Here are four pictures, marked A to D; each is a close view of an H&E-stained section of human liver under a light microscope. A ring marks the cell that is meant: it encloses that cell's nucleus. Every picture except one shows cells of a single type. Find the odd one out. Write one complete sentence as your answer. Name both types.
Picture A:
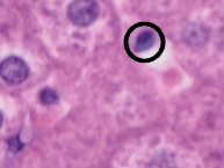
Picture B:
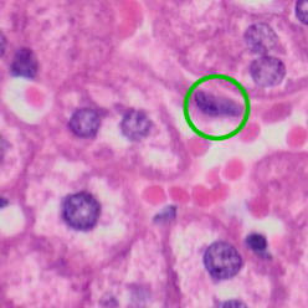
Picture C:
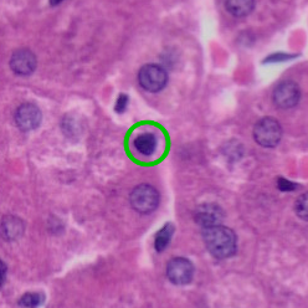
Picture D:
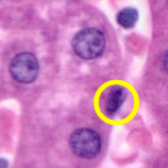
The different one is picture B; it shows a Kupffer cell, whereas all the others show “fibroblasts or stellate cells”.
